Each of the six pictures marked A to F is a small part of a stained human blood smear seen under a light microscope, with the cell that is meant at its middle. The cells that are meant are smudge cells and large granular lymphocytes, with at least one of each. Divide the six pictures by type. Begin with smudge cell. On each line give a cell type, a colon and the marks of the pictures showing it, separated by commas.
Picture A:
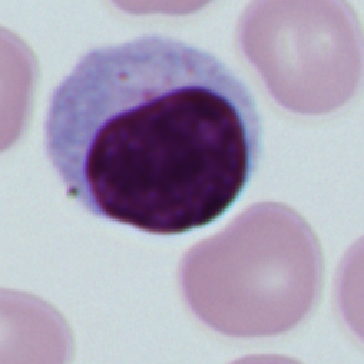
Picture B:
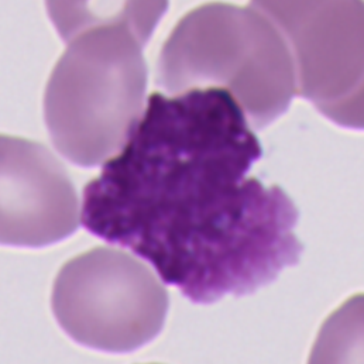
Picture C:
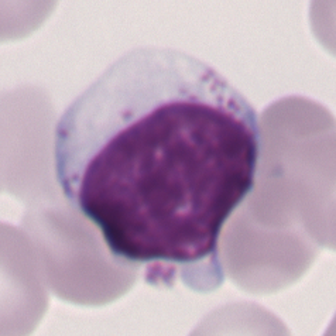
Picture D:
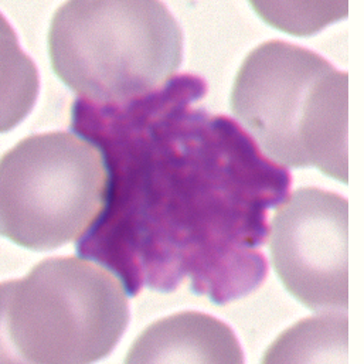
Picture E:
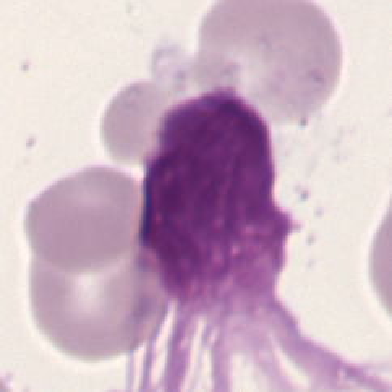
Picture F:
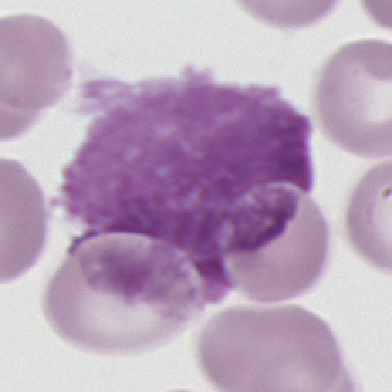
smudge cell: B, D, E, F
large granular lymphocyte: A, C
